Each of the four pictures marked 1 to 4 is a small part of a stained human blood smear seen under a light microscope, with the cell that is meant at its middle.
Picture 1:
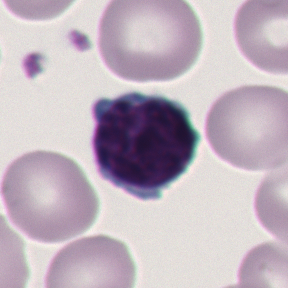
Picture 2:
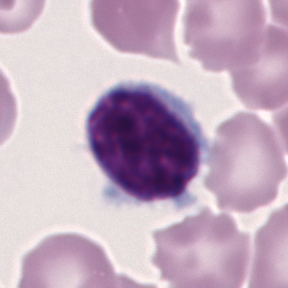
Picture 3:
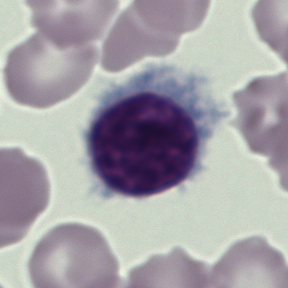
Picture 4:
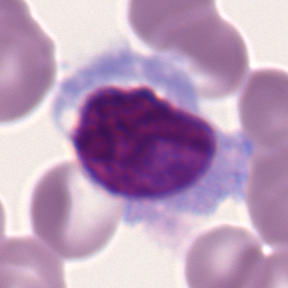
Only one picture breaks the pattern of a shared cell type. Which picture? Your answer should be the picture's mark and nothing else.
1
